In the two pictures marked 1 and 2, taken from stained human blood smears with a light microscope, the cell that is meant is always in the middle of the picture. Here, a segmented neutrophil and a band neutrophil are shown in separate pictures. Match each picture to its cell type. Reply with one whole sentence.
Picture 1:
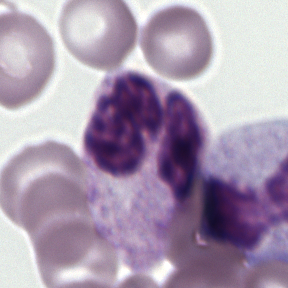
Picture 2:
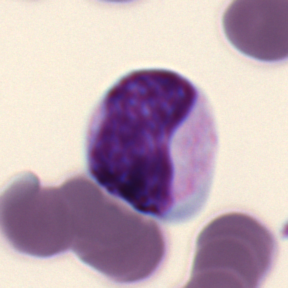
It is picture 1 that shows a segmented neutrophil, and picture 2 that shows a band neutrophil.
